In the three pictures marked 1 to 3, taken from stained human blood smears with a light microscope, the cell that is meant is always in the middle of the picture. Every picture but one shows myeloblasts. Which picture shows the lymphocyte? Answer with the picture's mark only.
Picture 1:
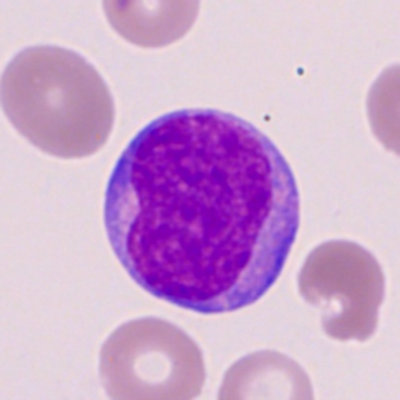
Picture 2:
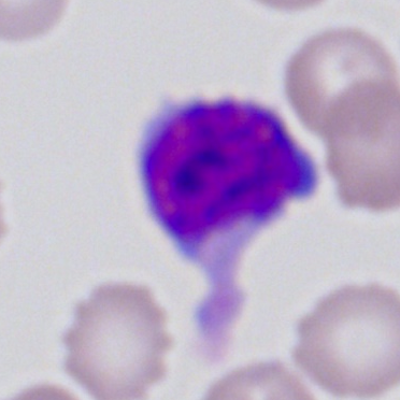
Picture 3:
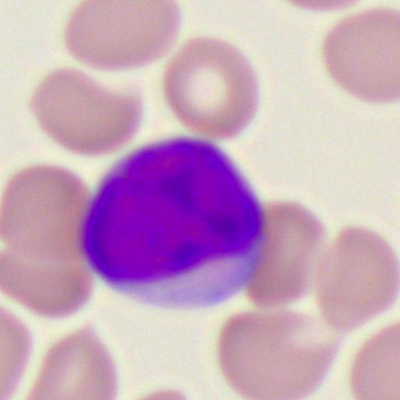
2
